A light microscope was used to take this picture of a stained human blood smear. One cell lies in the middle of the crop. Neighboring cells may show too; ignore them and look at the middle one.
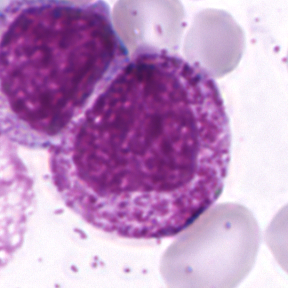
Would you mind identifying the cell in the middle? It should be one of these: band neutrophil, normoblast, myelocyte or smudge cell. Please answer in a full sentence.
In the central position of this crop, the cell is a myelocyte.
